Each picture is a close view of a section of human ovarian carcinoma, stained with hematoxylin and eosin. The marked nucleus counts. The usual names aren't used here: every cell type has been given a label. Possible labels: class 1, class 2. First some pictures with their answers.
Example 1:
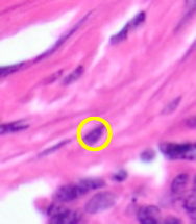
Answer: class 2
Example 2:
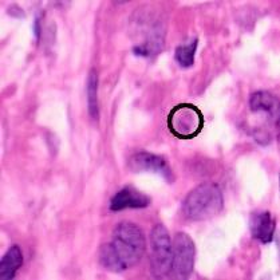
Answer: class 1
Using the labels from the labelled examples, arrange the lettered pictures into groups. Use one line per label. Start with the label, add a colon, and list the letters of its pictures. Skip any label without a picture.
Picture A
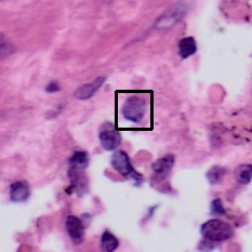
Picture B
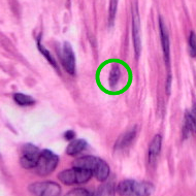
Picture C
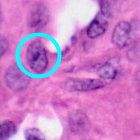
class 1: A, C
class 2: B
